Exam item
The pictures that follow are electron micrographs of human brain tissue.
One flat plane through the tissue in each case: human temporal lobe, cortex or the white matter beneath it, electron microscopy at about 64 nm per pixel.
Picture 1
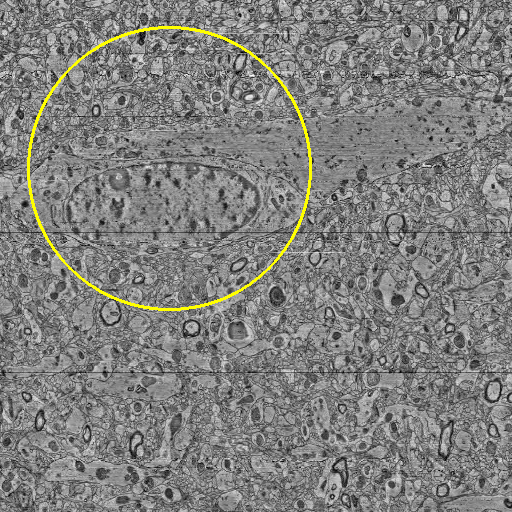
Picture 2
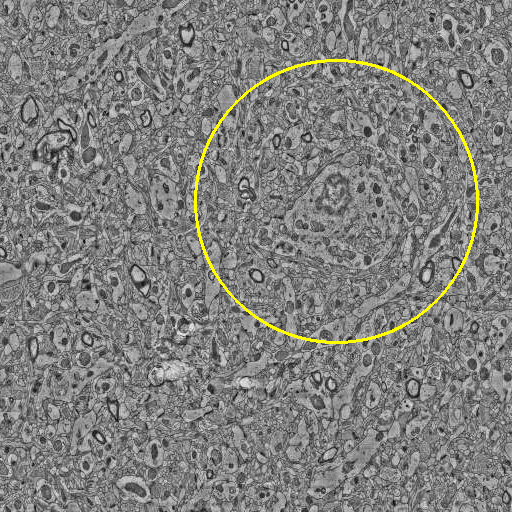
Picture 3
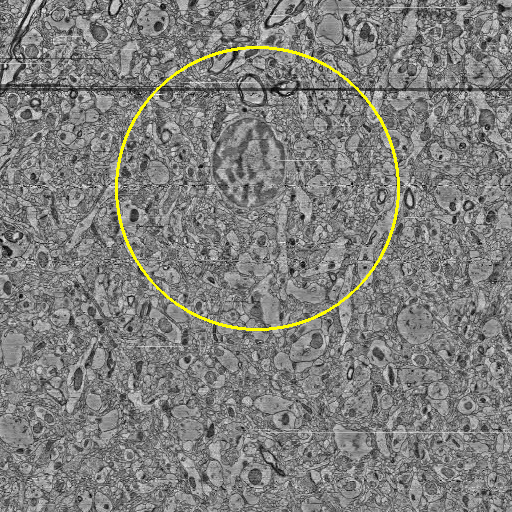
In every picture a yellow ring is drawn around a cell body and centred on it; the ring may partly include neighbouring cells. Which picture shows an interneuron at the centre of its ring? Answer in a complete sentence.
The cell at the centre of the ring in Picture 2 is the one asked for.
